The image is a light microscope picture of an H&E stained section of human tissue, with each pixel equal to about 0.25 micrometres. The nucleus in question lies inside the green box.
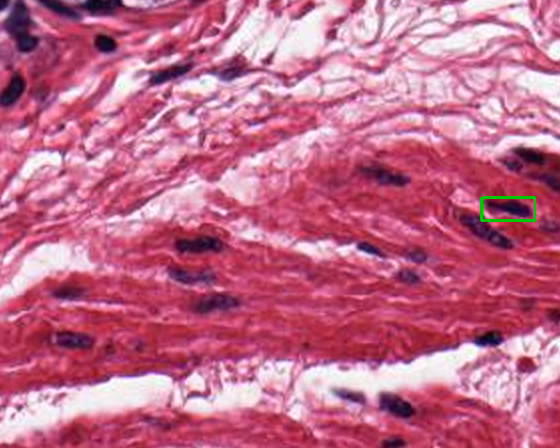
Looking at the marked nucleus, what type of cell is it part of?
smooth muscle cell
